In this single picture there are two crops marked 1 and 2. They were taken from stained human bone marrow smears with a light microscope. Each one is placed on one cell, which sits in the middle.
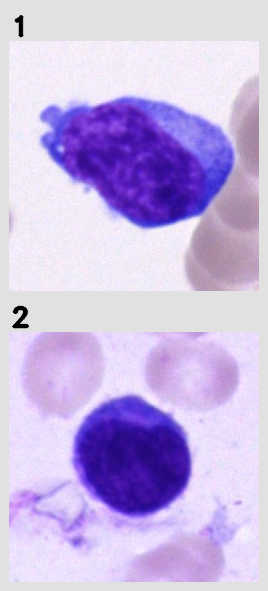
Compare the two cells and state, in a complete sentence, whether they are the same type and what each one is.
No, crop 1 and crop 2 contain, respectively, a blast and a lymphocyte.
